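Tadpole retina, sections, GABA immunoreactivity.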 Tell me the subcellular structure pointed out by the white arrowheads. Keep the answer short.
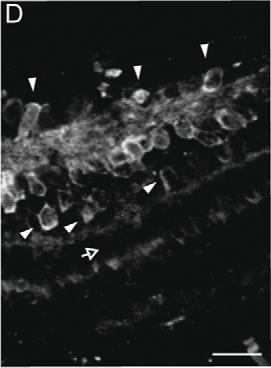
Somata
